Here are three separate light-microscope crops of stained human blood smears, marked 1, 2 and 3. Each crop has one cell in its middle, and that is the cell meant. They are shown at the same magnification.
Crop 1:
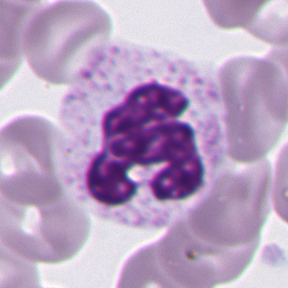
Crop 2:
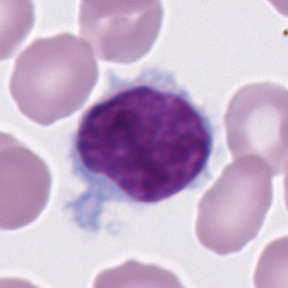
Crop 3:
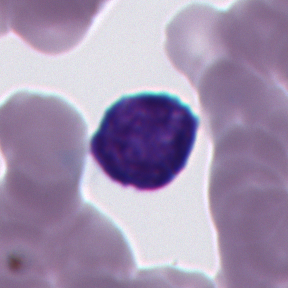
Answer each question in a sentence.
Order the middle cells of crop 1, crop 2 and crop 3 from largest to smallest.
Going down, they run 1, 2, 3.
